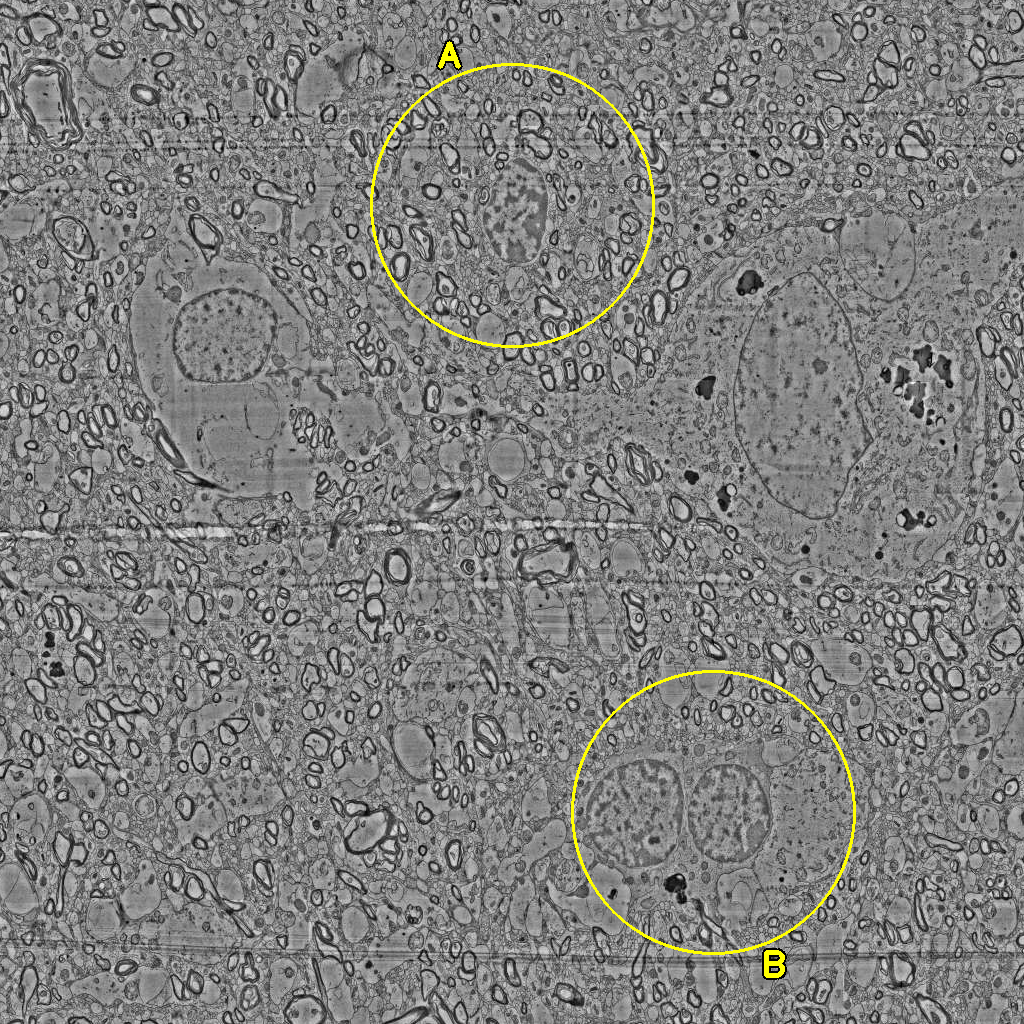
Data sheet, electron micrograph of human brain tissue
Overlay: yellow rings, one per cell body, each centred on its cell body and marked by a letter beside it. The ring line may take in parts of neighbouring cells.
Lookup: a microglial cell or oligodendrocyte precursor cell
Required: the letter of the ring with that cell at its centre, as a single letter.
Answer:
A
